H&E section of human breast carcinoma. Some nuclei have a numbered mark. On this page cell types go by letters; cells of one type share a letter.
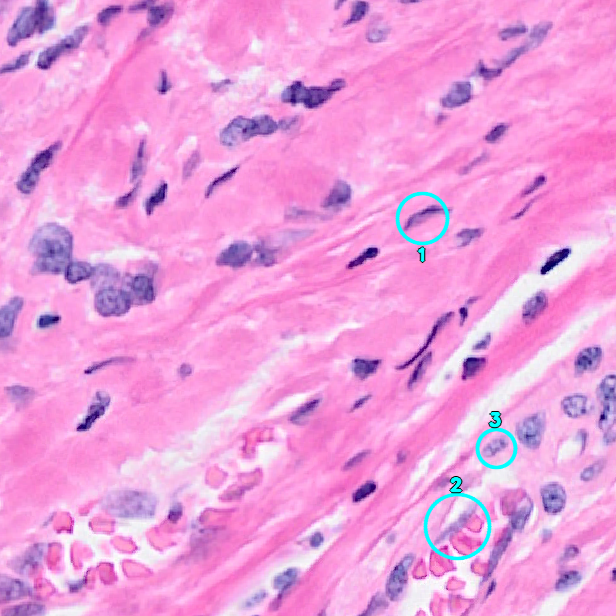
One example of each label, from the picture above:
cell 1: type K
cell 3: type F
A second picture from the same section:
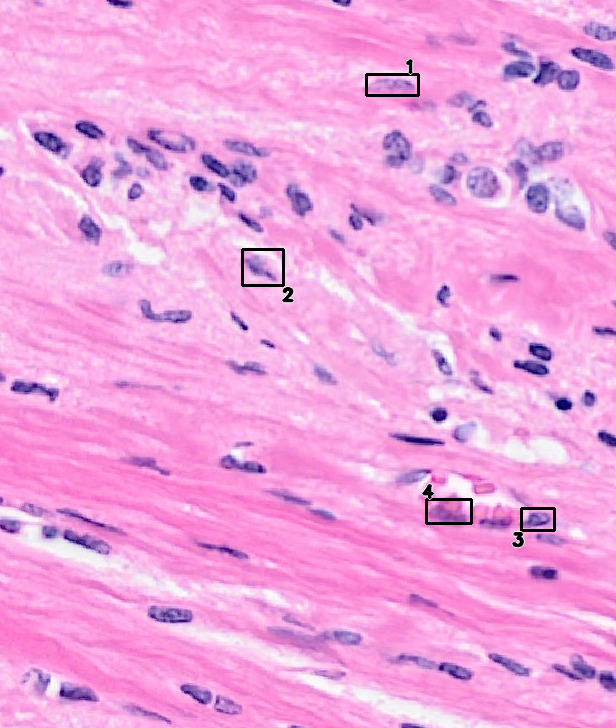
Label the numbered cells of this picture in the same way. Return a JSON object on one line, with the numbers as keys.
{"1": "type K", "2": "type K", "3": "type F", "4": "type F"}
